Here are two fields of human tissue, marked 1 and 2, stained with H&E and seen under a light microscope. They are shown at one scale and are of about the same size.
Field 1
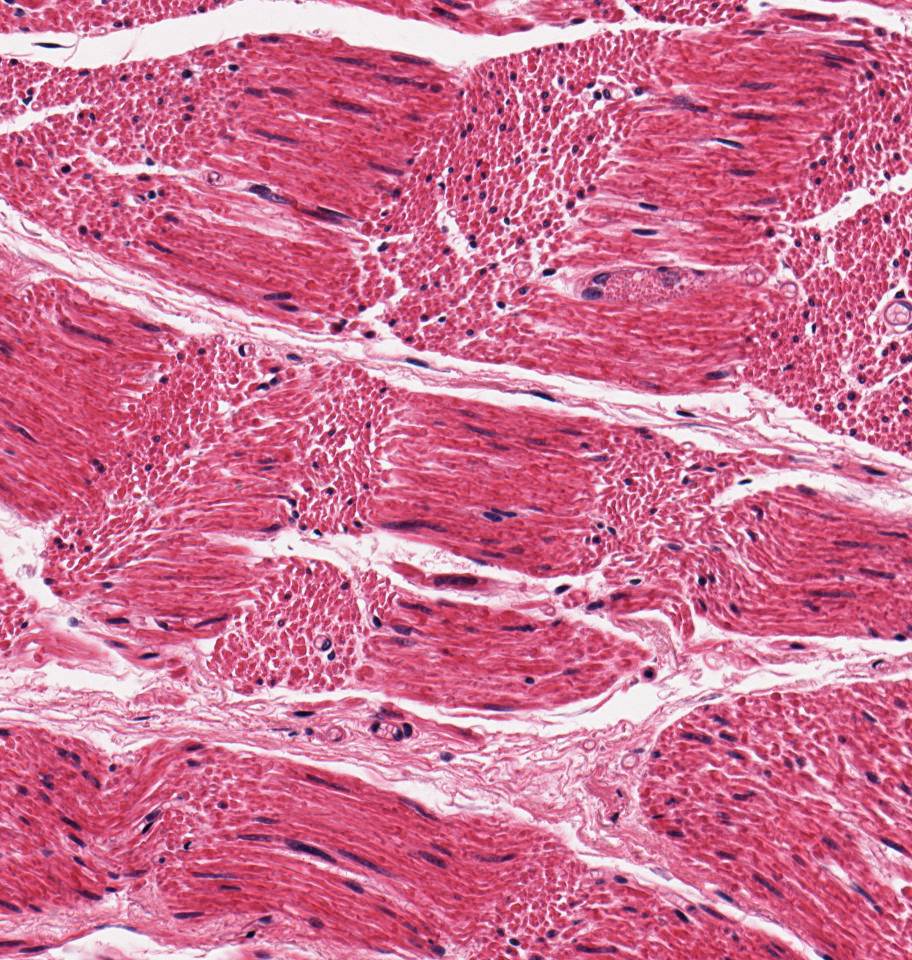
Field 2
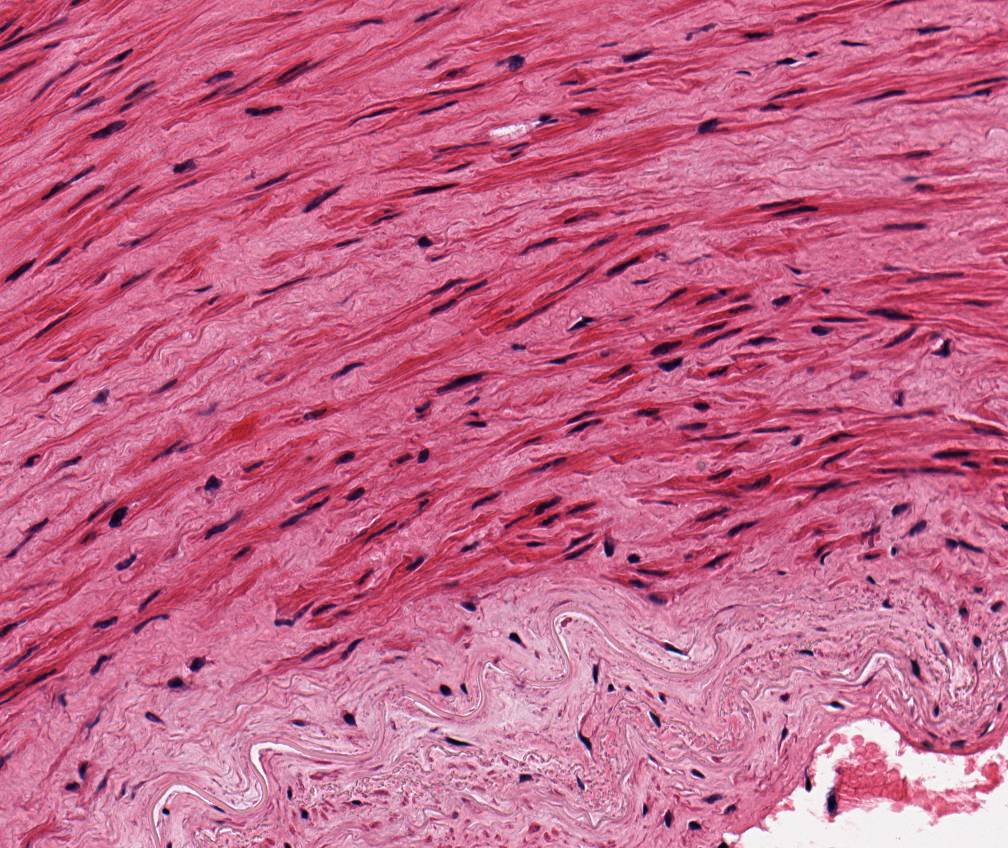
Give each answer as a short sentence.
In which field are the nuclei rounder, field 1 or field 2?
It is field 1 whose nuclei are the rounder.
